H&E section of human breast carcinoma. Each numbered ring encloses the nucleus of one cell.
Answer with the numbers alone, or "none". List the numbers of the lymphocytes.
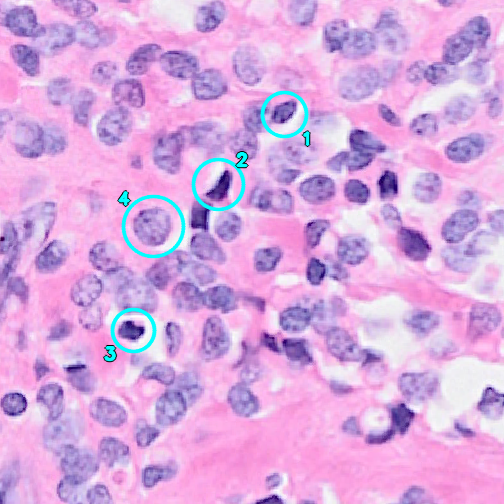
1, 3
